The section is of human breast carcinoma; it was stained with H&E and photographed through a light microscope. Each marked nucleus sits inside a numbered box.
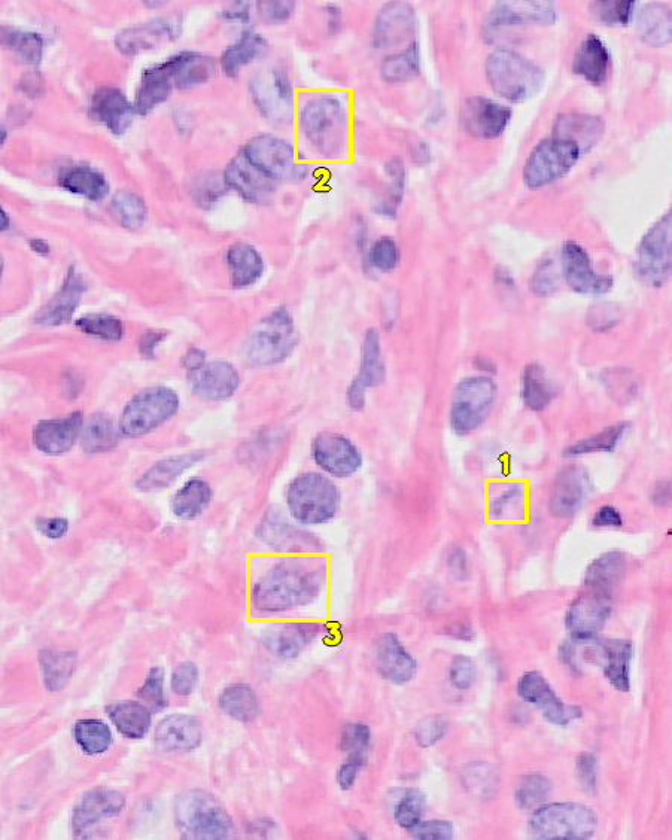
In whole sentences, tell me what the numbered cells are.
Cell 1 is a fibroblast. Cells 2 and 3 are carcinoma cells.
